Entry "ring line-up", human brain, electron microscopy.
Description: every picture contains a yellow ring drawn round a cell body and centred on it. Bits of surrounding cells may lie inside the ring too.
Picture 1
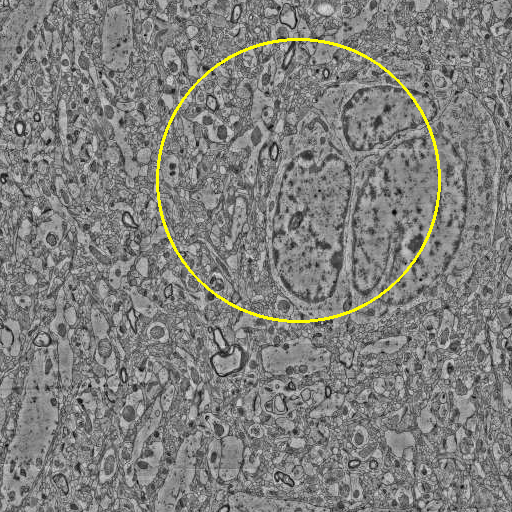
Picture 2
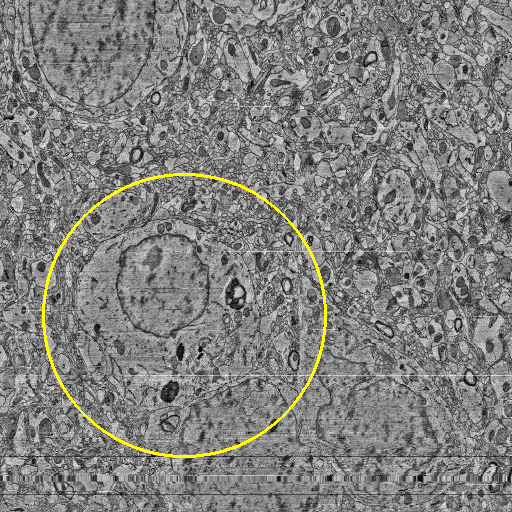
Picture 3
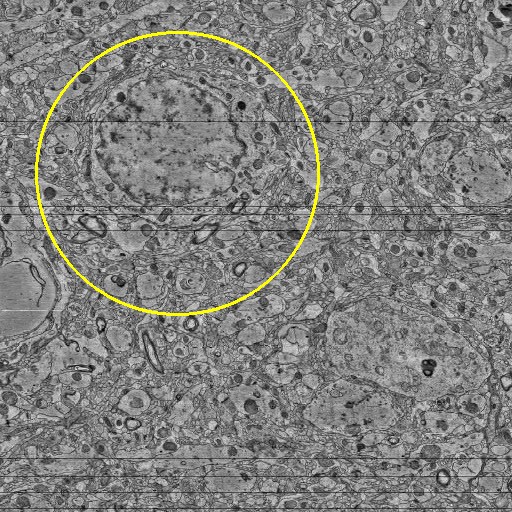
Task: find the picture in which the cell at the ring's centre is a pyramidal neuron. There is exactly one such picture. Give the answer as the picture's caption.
Picture 2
